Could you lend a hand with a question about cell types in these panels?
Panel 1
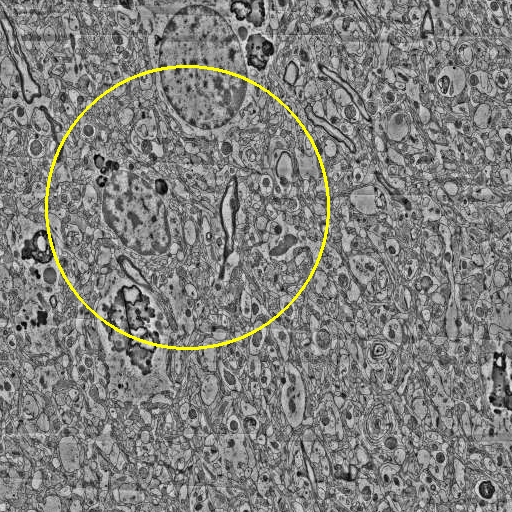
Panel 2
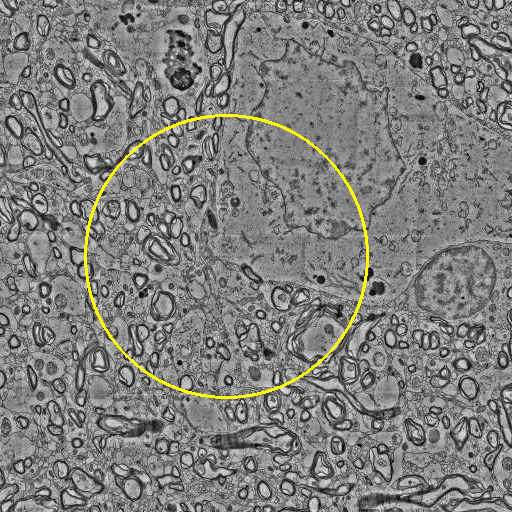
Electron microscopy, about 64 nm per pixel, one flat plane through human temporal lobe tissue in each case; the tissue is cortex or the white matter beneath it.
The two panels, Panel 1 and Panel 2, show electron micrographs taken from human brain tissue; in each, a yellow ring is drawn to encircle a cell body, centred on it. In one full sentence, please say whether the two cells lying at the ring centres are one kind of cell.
Yes, the cells at the ring centres in the two panels are one kind of cell.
